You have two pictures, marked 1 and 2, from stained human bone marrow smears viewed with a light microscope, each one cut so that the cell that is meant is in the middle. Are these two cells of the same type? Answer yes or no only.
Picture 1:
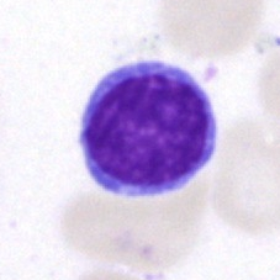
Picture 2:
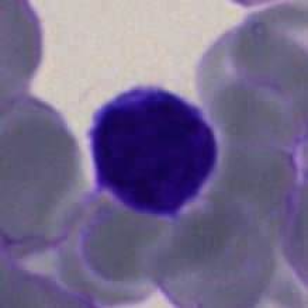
yes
